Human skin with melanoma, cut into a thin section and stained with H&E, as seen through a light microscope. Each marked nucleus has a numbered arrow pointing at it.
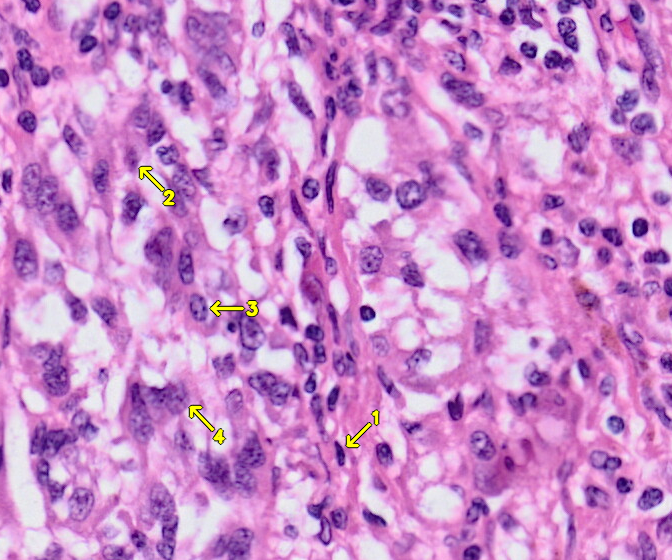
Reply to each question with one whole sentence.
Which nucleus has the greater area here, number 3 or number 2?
At about 1.5 times the area of nucleus 2, nucleus 3 is the larger of the two.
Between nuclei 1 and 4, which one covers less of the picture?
Nucleus 1 covers less area, with nucleus 4 about 3 times as large.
